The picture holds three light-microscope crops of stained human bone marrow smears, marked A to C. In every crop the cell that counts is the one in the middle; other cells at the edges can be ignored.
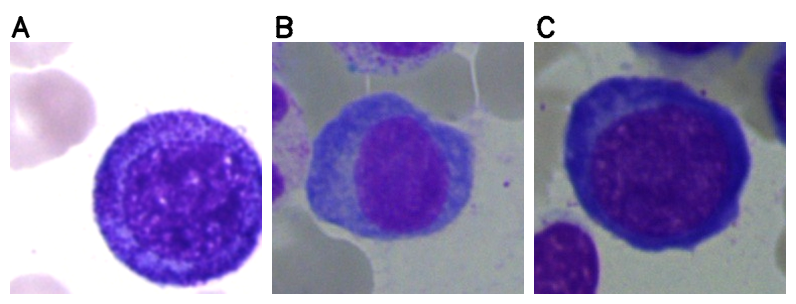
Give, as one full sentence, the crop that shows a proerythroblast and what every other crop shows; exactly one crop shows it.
Crop C goes down as a proerythroblast, while crop A is a promyelocyte and crop B is a plasma cell.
